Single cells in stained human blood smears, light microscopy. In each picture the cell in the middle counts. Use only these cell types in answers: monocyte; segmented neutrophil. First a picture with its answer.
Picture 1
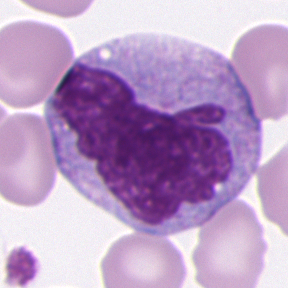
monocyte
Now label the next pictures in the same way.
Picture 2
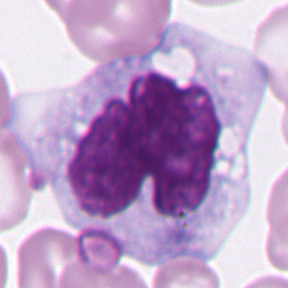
monocyte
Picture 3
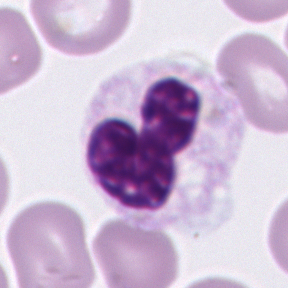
segmented neutrophil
